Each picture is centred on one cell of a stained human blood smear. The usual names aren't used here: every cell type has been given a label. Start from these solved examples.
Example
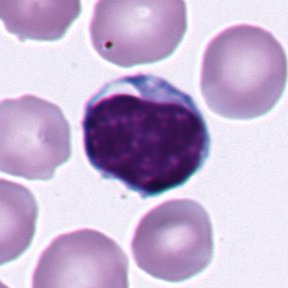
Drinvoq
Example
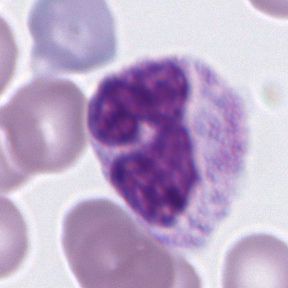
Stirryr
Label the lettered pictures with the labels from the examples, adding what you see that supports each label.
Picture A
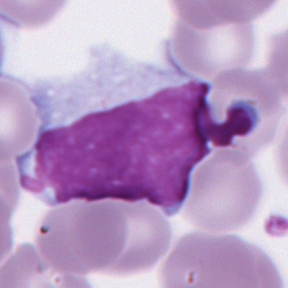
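Drinvoq. Reason: The nucleus fills most of the cell.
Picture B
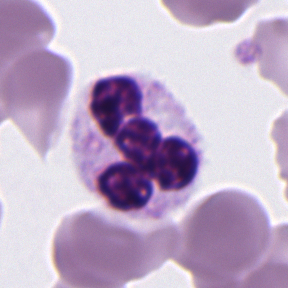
Stirryr. Reason: The cytoplasm is pale pinkish-lilac rather than blue.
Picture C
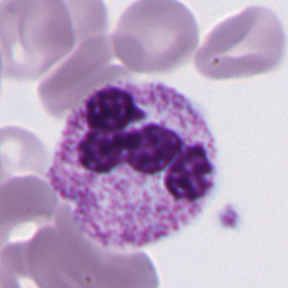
Stirryr. Reason: The nucleus is divided into four separate lobes.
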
